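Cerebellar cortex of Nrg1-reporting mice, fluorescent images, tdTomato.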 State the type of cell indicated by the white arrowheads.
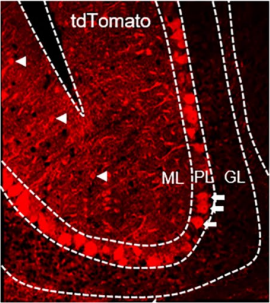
GABAergic interneurons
